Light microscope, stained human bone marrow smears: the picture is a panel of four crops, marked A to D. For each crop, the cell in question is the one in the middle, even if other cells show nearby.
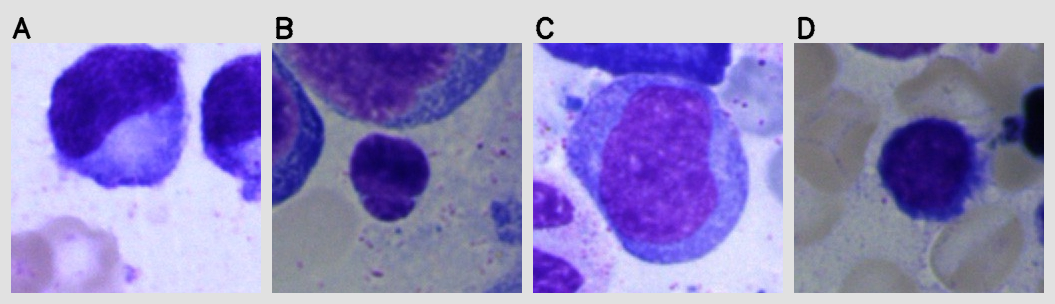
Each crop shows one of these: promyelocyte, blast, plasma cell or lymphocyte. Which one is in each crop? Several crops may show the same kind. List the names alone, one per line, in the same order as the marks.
promyelocyte
lymphocyte
blast
lymphocyte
